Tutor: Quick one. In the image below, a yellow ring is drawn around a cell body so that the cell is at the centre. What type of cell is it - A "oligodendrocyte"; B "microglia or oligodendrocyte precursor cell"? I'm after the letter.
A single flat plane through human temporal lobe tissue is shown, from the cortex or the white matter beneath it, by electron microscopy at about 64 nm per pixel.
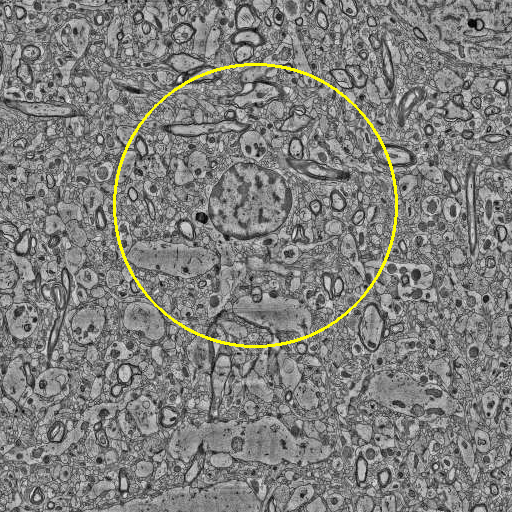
B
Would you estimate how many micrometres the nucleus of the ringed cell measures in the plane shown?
About 5 micrometres across, as seen in this plane.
